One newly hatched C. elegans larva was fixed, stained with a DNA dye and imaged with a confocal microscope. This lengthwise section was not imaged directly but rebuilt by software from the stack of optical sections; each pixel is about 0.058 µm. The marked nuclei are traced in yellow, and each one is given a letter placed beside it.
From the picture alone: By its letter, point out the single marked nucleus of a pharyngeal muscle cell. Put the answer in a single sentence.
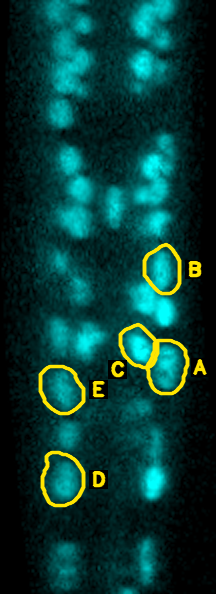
Nucleus C belongs to a pharyngeal muscle cell.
